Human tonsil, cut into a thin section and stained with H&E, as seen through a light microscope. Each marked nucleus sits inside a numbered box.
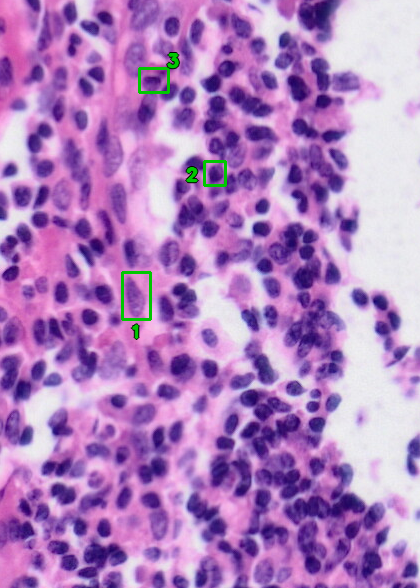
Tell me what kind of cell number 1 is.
endothelial cell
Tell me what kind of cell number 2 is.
small lymphocyte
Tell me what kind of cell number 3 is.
endothelial cell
